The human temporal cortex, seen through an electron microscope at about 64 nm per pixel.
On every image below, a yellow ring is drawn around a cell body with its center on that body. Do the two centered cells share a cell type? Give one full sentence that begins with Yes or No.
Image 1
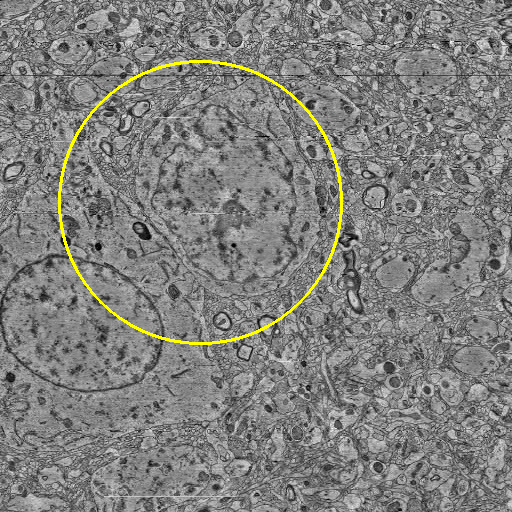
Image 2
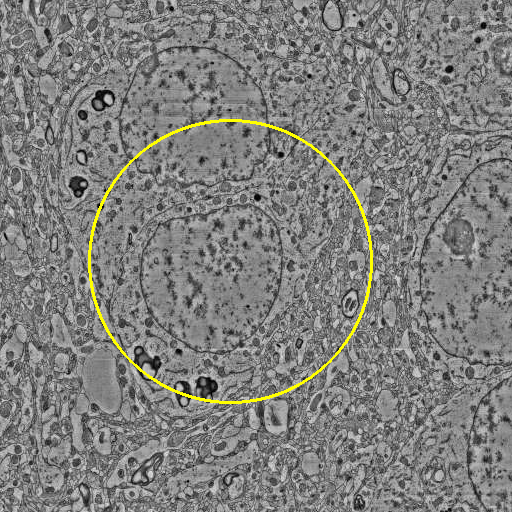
No, the centered cells in the two images are of two separate cell types.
